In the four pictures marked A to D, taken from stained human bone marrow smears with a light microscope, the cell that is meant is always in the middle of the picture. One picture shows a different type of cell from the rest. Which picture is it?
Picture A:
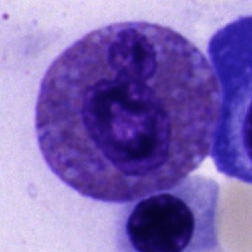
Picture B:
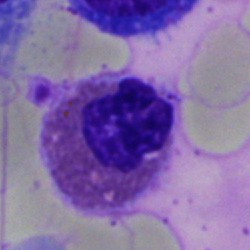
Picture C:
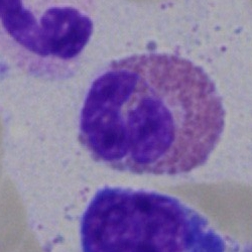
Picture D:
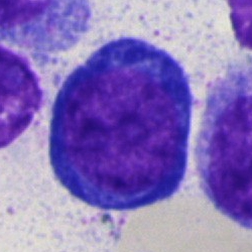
D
